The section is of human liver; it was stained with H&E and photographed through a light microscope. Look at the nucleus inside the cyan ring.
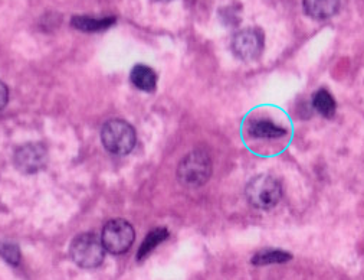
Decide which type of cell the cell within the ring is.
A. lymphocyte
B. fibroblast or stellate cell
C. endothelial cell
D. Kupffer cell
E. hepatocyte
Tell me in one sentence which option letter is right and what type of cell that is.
Here the cell within the ring is an endothelial cell, which makes option C correct.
